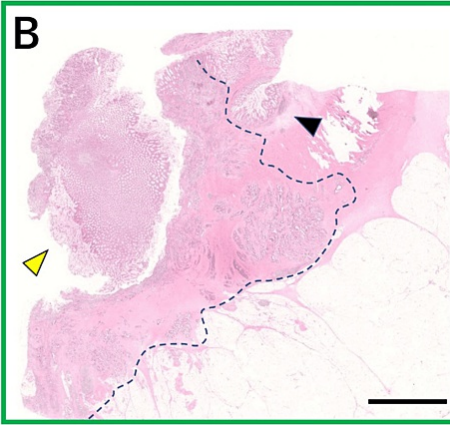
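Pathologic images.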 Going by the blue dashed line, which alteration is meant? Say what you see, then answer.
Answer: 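The outlined region contains densely packed irregular glands. The outlined region borders pale fatty tissue on the lower right.
Tumor area.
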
